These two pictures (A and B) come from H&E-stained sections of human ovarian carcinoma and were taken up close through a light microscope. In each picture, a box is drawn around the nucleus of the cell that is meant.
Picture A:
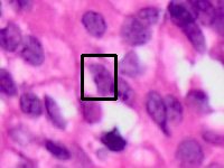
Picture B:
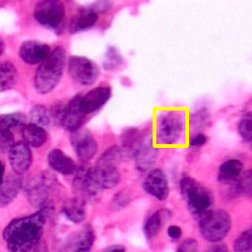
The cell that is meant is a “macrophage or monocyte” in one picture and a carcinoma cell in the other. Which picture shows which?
A: carcinoma cell
B: macrophage or monocyte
